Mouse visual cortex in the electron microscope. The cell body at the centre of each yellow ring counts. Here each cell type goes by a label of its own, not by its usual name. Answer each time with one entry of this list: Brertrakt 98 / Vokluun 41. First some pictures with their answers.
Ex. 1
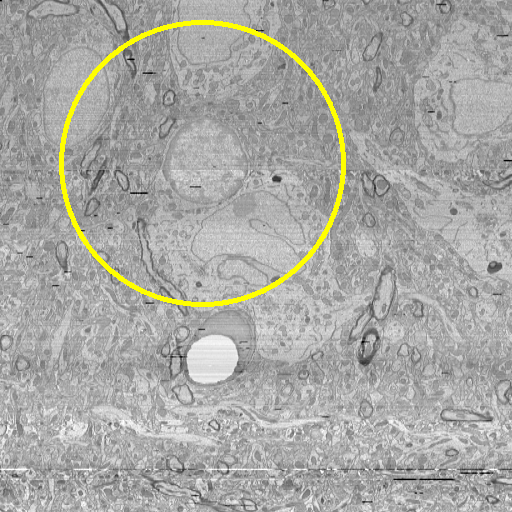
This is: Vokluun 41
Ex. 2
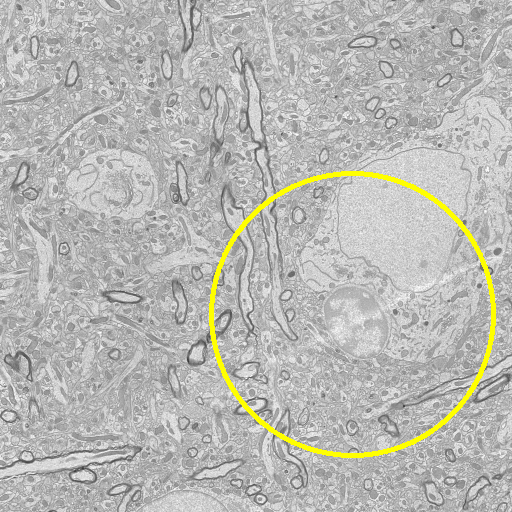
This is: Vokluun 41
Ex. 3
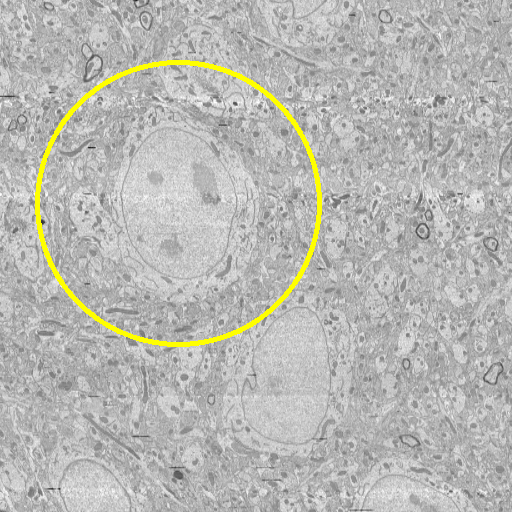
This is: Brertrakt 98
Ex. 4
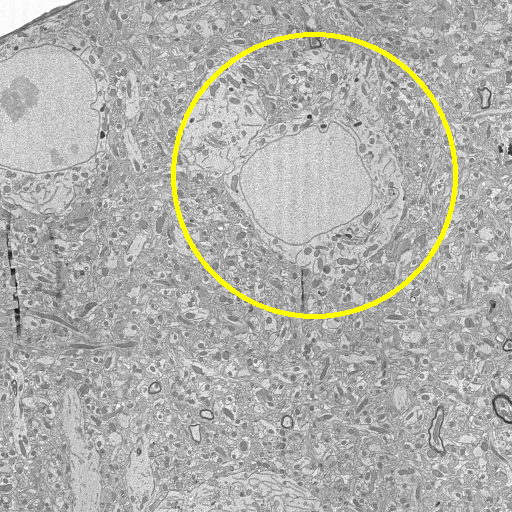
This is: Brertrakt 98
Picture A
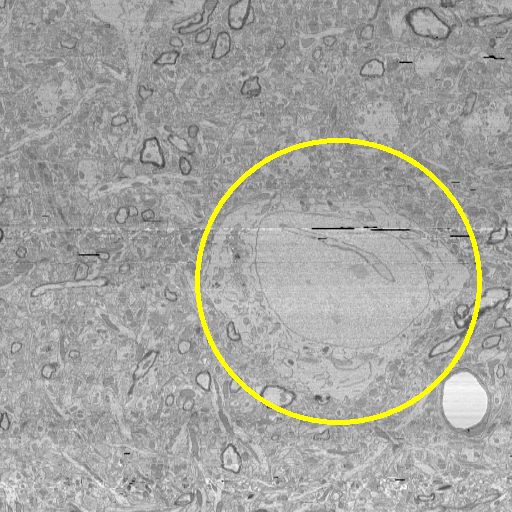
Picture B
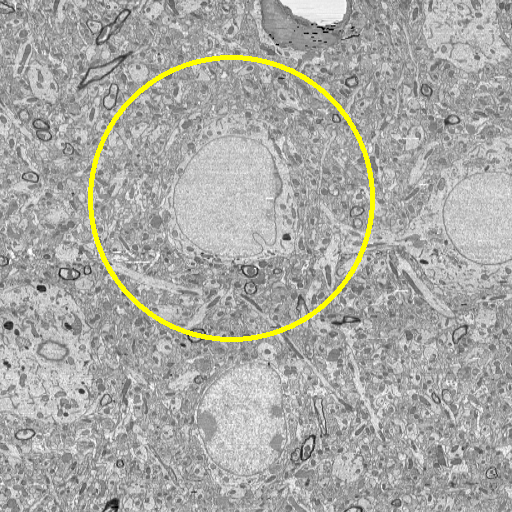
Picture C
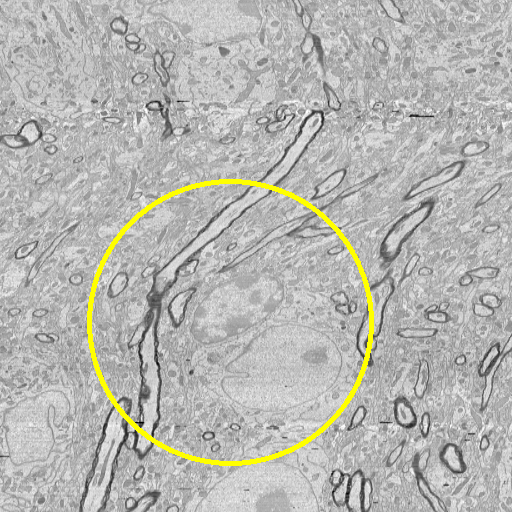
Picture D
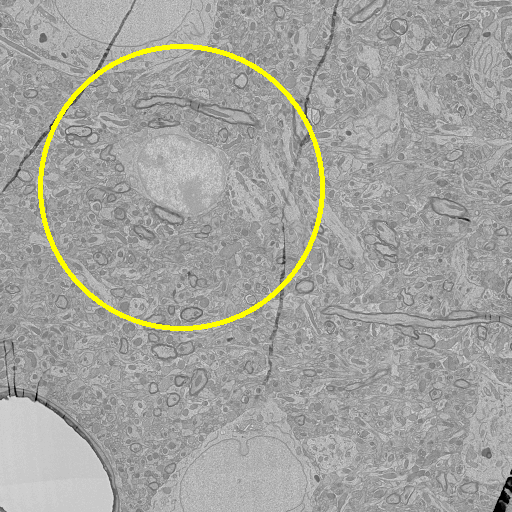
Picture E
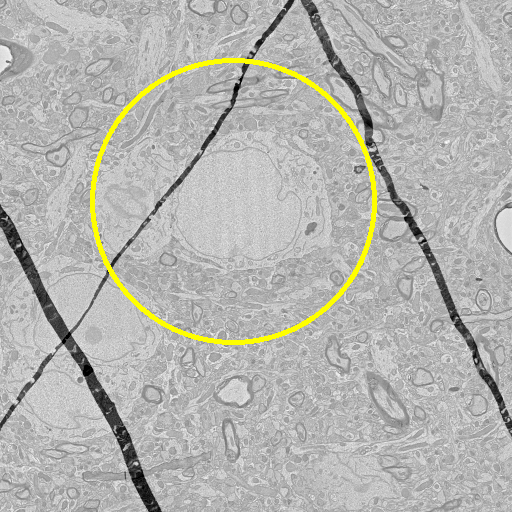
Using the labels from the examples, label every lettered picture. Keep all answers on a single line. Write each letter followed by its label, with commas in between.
A Brertrakt 98, B Brertrakt 98, C Vokluun 41, D Vokluun 41, E Brertrakt 98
